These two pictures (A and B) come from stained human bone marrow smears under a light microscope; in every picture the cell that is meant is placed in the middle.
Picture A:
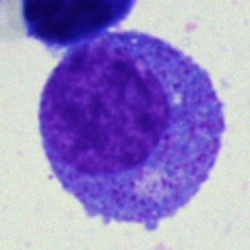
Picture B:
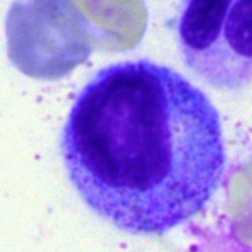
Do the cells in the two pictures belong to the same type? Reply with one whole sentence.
No, picture A shows a promyelocyte and picture B shows a myelocyte.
